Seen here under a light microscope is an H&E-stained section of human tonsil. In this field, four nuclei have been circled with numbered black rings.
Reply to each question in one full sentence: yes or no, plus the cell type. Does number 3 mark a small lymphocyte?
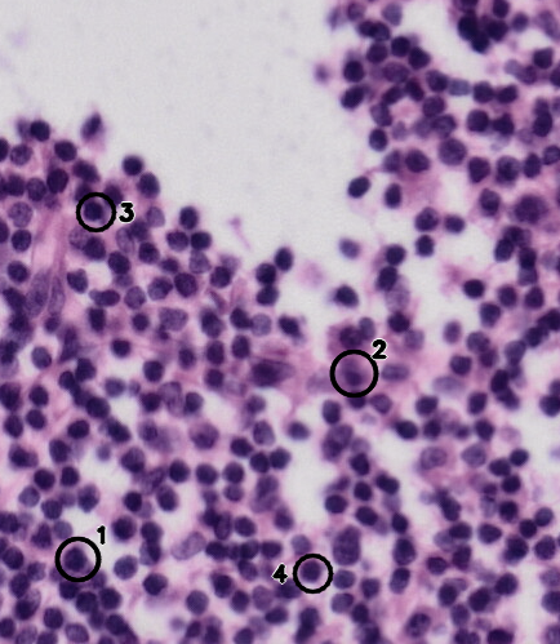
Yes, the cell marked by the number 3 is a small lymphocyte.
